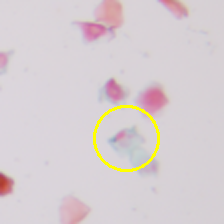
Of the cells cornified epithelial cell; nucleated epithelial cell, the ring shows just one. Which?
The ring shows a nucleated epithelial cell.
